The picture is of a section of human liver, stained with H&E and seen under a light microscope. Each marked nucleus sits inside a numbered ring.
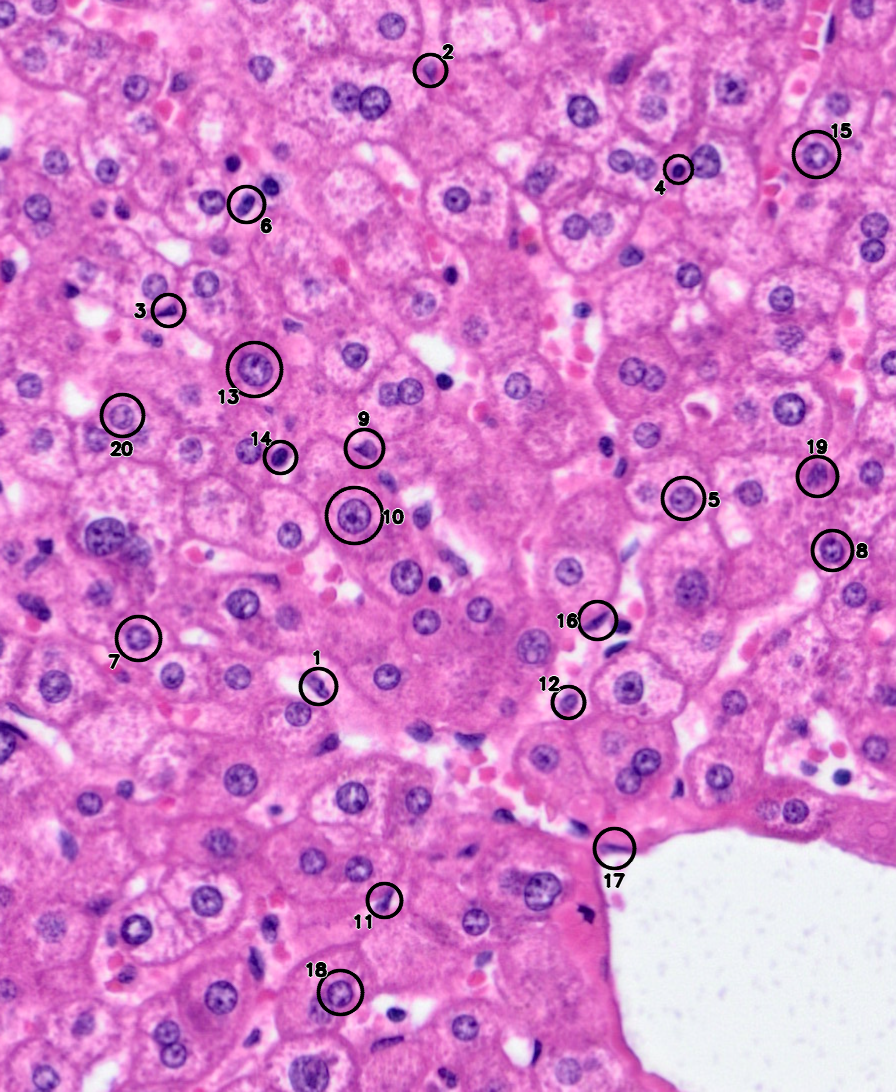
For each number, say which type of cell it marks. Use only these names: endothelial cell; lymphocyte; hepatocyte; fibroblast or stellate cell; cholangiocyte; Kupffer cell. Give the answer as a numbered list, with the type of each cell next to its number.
1. Kupffer cell
2. endothelial cell
3. fibroblast or stellate cell
4. lymphocyte
5. hepatocyte
6. lymphocyte
7. hepatocyte
8. hepatocyte
9. endothelial cell
10. hepatocyte
11. endothelial cell
12. Kupffer cell
13. hepatocyte
14. lymphocyte
15. hepatocyte
16. fibroblast or stellate cell
17. fibroblast or stellate cell
18. hepatocyte
19. fibroblast or stellate cell
20. hepatocyte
